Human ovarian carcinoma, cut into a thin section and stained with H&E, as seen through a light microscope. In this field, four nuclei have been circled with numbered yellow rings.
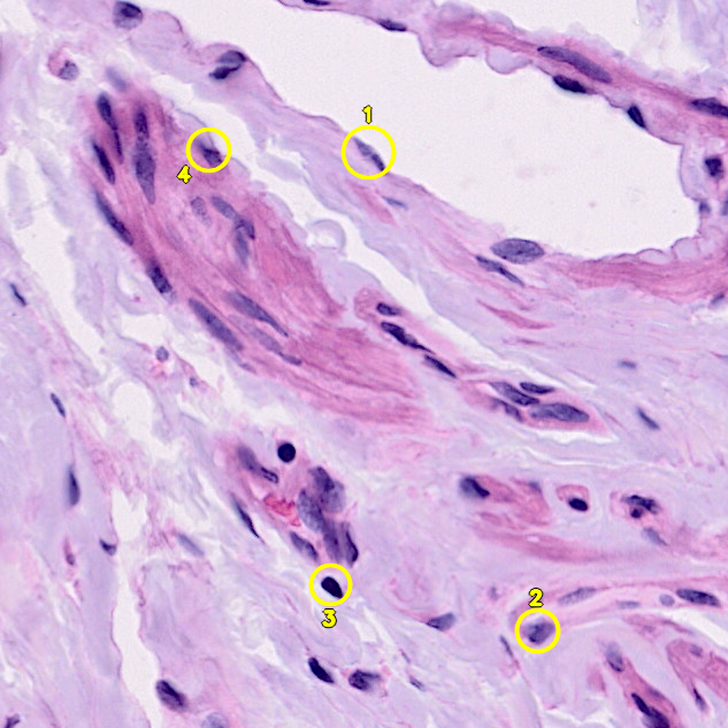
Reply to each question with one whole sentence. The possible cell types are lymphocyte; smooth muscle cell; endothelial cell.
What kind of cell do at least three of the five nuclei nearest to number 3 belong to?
Most of the five nuclei nearest to number 3 are those of endothelial cells.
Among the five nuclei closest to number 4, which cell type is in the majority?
Smooth muscle cells make up most of the five nuclei closest to number 4.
